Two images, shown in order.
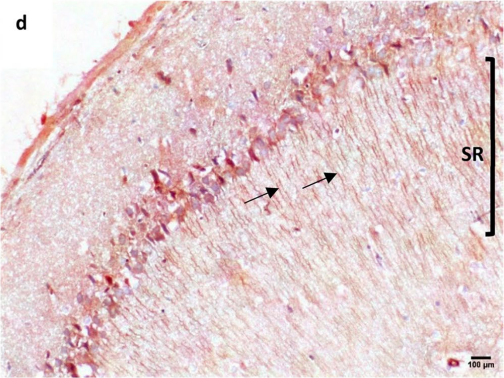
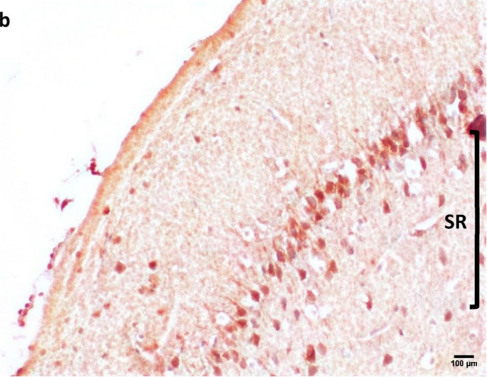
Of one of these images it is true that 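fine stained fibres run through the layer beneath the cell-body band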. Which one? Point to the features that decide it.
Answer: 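Second image: the layer below the cell-body band is pale with almost no stained fibres. First image: many thin brownish fibres run in parallel through that layer. On this evidence: the first image.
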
